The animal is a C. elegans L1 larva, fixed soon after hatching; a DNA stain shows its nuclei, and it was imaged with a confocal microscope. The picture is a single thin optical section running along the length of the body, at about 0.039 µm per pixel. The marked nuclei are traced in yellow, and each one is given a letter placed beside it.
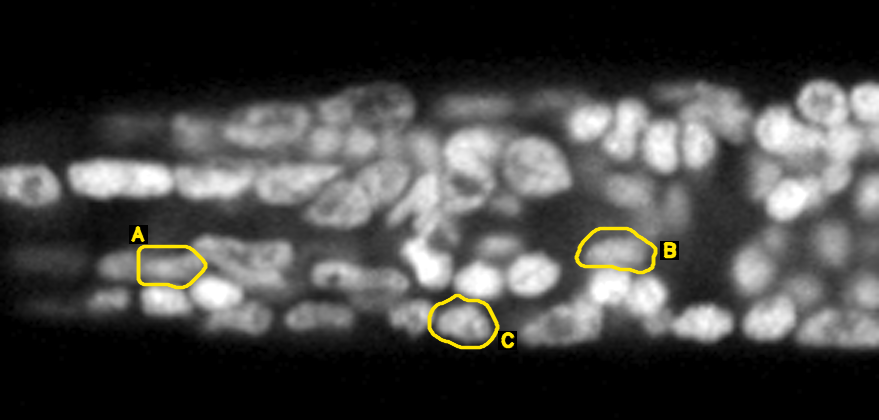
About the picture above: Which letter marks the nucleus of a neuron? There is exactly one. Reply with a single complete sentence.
It is B that belongs to a neuron.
